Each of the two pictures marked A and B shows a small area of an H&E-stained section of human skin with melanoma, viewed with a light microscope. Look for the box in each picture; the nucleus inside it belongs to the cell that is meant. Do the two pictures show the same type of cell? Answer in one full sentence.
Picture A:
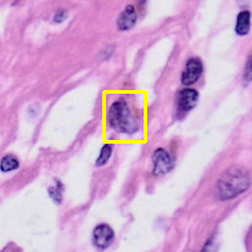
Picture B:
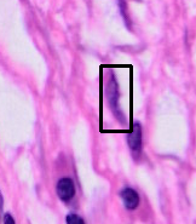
No; the cell in picture A is a “macrophage or monocyte”, while the one in picture B is a “fibroblast or myofibroblast”.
